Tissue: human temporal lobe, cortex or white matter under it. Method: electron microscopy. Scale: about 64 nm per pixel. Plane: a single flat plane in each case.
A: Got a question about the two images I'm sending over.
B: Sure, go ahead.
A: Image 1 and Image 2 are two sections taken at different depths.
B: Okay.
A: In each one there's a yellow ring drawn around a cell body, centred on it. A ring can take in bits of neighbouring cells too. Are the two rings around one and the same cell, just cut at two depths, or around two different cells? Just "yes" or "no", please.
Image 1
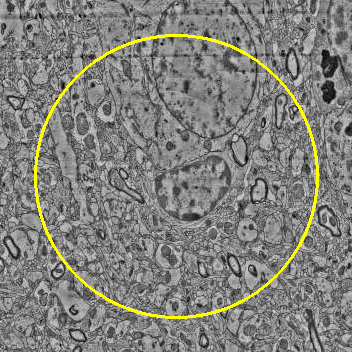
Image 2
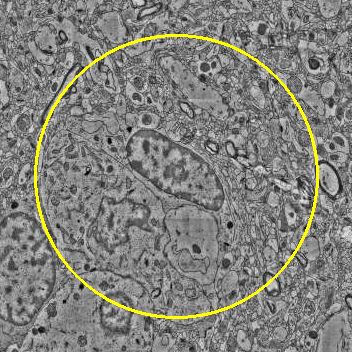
no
